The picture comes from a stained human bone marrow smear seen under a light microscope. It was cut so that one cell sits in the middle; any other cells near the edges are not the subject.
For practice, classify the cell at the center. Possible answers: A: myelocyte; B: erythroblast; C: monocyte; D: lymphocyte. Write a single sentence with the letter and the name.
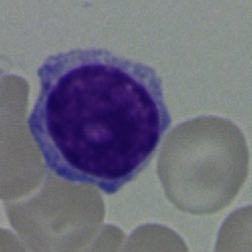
Of the options given, D is correct, the central cell being a lymphocyte.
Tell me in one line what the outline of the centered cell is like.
The boundary of the cell runs irregularly, ragged in parts or drawn into projections.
